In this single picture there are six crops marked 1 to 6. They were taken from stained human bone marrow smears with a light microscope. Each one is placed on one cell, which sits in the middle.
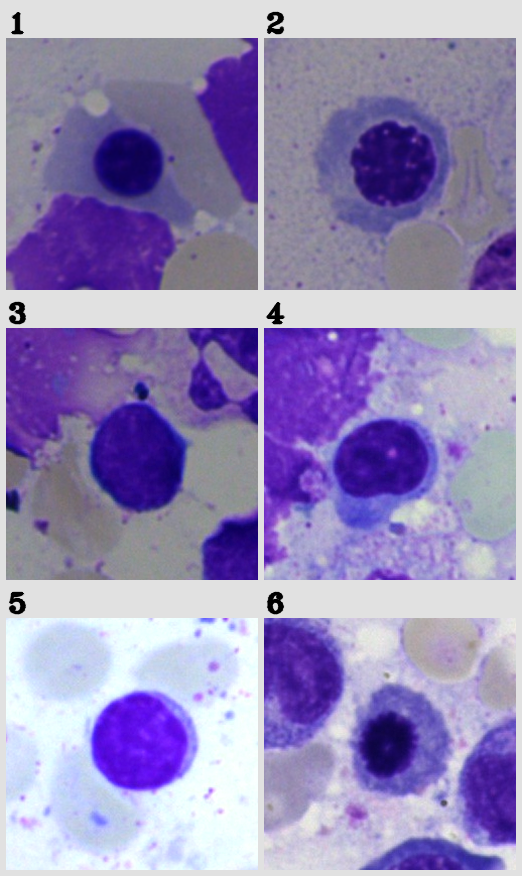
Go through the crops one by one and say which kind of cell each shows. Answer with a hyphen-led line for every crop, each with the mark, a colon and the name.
- 1: erythroblast
- 2: erythroblast
- 3: lymphocyte
- 4: lymphocyte
- 5: lymphocyte
- 6: erythroblast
